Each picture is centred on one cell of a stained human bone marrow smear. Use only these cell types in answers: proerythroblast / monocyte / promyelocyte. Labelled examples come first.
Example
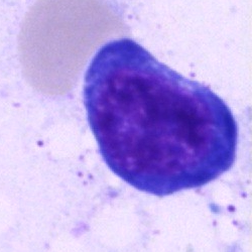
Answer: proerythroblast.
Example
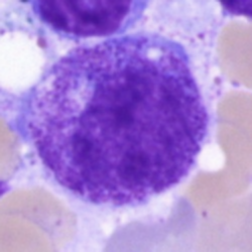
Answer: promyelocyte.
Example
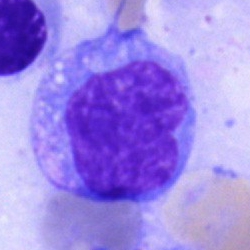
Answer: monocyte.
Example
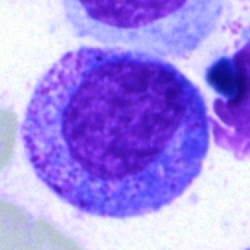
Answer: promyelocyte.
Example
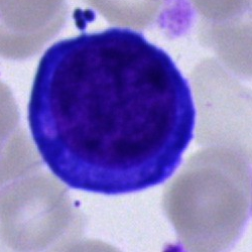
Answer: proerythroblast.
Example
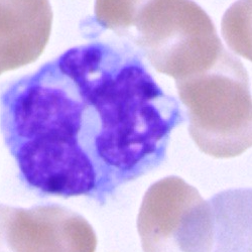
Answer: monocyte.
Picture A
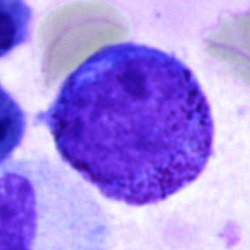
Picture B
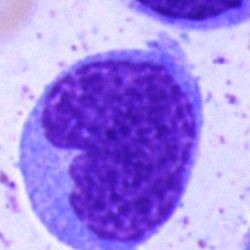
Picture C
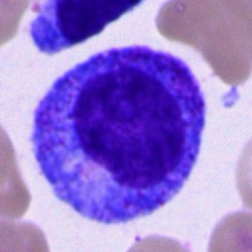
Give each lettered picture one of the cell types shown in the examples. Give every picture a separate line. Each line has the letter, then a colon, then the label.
A: promyelocyte.
B: monocyte.
C: promyelocyte.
